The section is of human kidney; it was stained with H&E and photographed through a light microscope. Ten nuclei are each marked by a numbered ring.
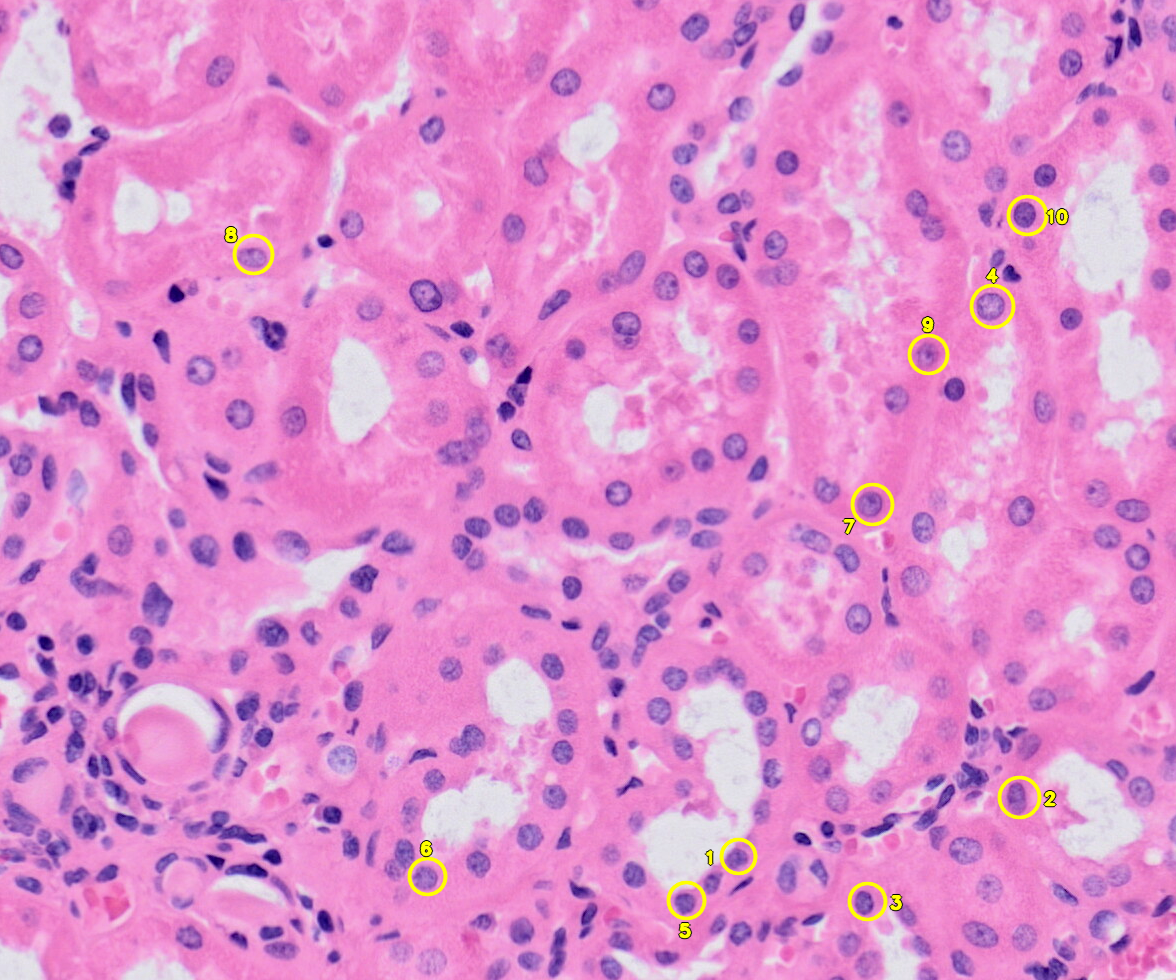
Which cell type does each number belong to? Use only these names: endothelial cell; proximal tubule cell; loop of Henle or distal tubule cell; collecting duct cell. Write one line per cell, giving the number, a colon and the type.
1: loop of Henle or distal tubule cell
2: proximal tubule cell
3: loop of Henle or distal tubule cell
4: proximal tubule cell
5: loop of Henle or distal tubule cell
6: loop of Henle or distal tubule cell
7: proximal tubule cell
8: proximal tubule cell
9: proximal tubule cell
10: proximal tubule cell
